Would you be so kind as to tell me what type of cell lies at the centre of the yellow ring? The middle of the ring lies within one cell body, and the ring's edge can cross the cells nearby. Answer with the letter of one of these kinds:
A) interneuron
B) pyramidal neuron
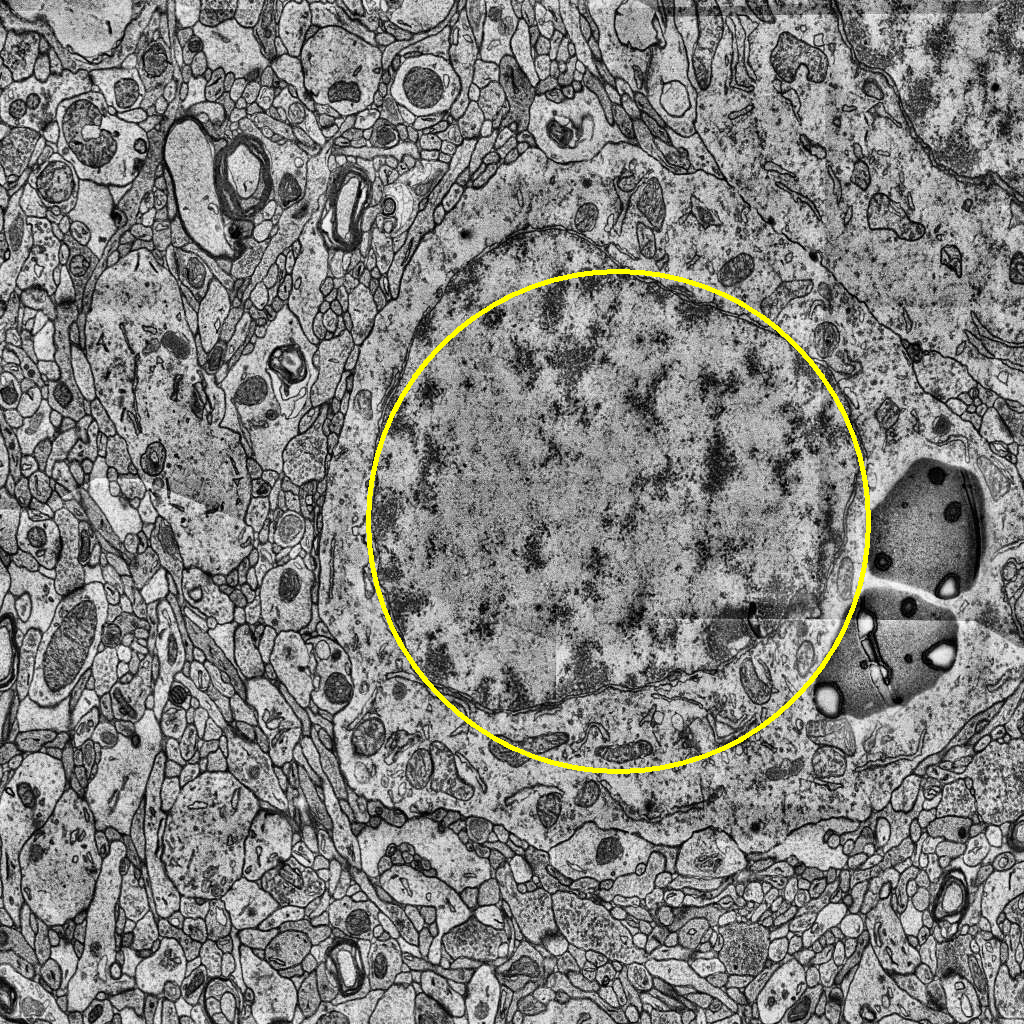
A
